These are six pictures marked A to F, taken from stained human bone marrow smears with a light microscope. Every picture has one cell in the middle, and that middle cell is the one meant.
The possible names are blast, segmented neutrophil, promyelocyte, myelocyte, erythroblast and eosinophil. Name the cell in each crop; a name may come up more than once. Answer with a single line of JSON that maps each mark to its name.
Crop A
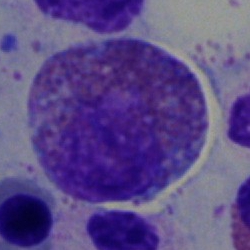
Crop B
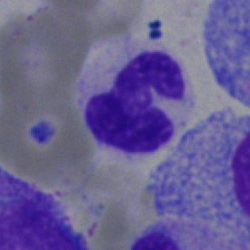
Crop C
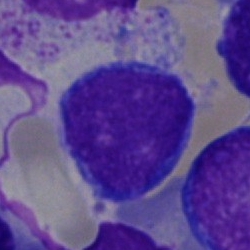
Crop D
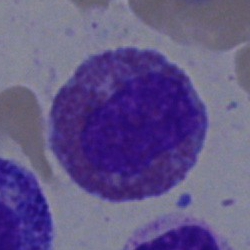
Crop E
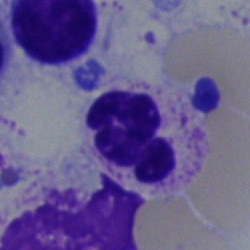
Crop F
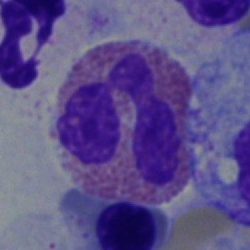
{"A": "eosinophil", "B": "segmented neutrophil", "C": "blast", "D": "eosinophil", "E": "segmented neutrophil", "F": "eosinophil"}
